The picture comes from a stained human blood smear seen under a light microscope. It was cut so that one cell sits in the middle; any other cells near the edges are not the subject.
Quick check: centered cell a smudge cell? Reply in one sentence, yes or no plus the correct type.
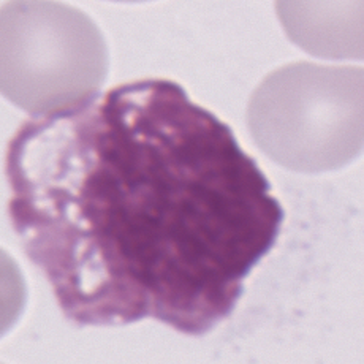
Yes, the cell at the midpoint of the crop is a smudge cell.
